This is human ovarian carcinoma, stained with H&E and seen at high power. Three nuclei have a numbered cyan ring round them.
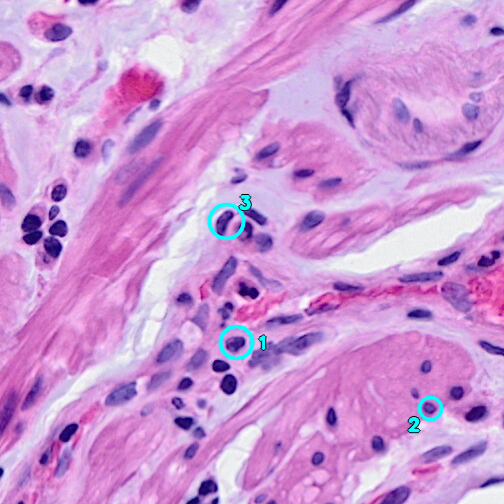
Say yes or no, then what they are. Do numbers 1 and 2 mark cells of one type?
No, cell 1 is a lymphocyte and cell 2 is a smooth muscle cell.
